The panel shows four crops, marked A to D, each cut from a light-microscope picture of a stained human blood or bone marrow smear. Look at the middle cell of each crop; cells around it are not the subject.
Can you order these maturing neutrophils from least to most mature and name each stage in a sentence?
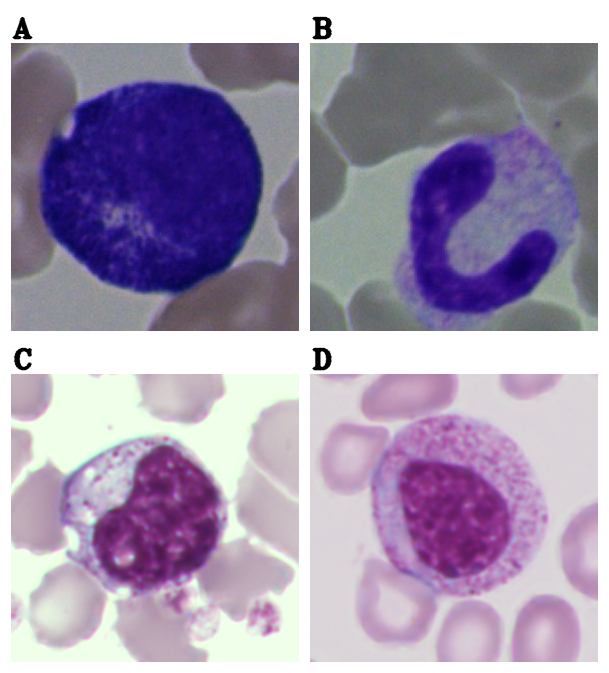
The right order here, from least to most mature, is crop A (a promyelocyte), crop D (a myelocyte), crop C (a metamyelocyte) and crop B (a band neutrophil).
